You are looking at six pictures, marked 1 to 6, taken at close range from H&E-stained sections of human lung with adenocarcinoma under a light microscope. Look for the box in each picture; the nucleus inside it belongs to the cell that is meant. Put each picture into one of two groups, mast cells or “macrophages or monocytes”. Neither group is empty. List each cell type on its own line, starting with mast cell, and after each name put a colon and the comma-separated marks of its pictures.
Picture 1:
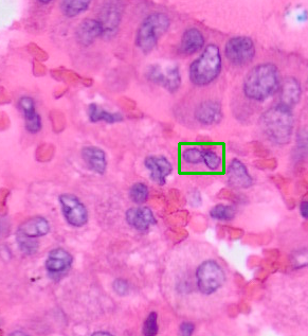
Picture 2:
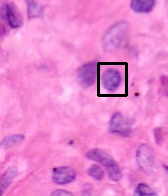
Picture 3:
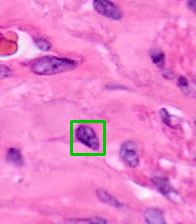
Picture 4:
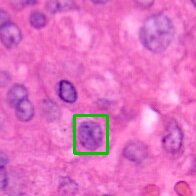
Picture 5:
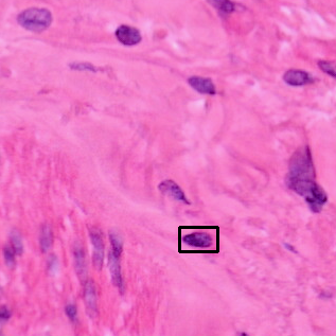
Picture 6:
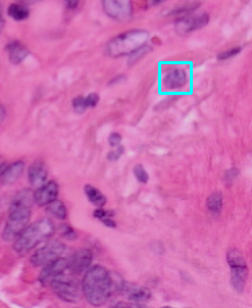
mast cell: 2, 3, 5, 6
macrophage or monocyte: 1, 4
